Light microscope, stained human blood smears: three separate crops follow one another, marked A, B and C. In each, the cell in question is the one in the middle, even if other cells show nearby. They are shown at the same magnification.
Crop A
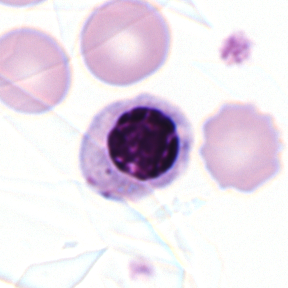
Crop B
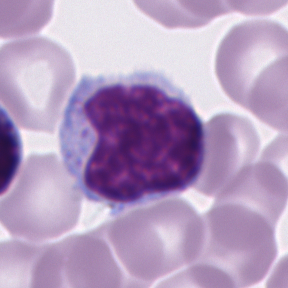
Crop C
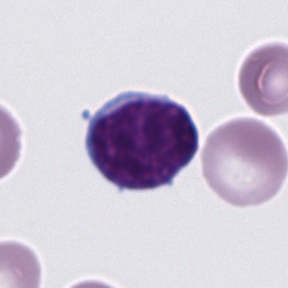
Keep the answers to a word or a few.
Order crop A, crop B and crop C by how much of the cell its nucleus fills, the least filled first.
A, B, C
